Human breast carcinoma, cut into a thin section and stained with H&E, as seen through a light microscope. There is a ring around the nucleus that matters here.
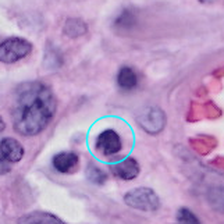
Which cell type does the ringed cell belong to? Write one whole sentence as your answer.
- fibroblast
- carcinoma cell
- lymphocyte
Just put down that the ringed cell is a lymphocyte.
